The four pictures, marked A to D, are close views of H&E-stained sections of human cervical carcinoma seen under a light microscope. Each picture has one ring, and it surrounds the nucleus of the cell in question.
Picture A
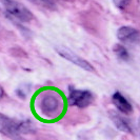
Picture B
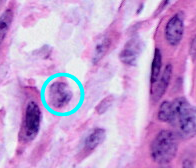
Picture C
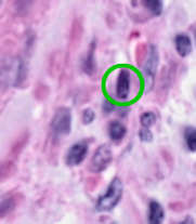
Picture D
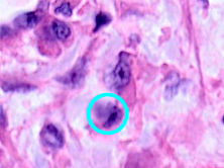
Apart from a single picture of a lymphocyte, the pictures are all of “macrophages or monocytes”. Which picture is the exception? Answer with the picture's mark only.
C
